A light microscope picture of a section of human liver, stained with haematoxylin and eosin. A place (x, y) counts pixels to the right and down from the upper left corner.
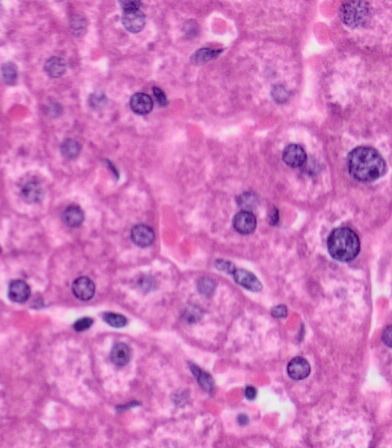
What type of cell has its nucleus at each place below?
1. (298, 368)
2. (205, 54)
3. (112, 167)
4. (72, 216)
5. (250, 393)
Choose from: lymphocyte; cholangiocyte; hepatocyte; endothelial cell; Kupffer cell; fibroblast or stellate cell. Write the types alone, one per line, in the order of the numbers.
hepatocyte
endothelial cell
endothelial cell
hepatocyte
lymphocyte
